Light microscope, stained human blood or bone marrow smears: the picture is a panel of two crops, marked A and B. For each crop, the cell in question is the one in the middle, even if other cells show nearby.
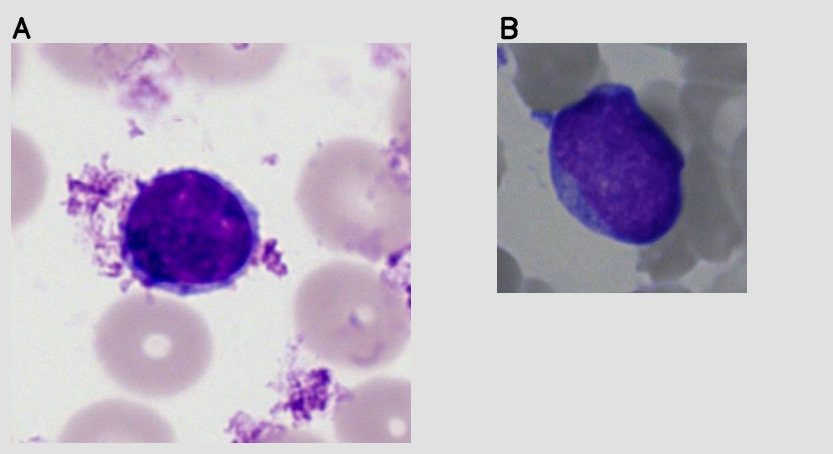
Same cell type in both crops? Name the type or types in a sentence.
No, for crop A the cell is a lymphocyte, and for crop B it is a blast.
